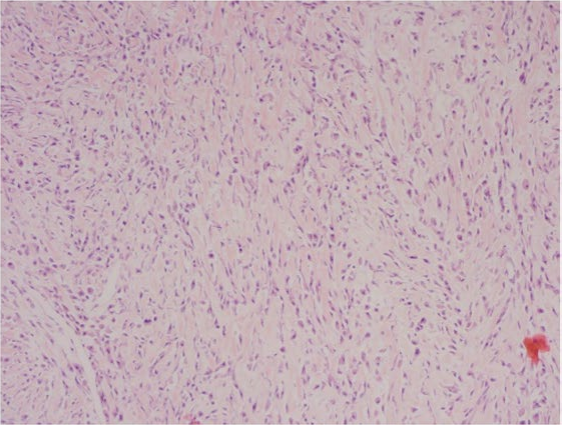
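This is a cellular tumor made of fusiform, spindle-shaped atypical cells stained pink and purple. The cells are arranged in interlacing and sweeping fascicles that run in different directions across the field. Their nuclei are elongated and dark purple, lying within pale pink, fibrillary cytoplasm and stroma. No normal tissue structures are seen among the tumor cells.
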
